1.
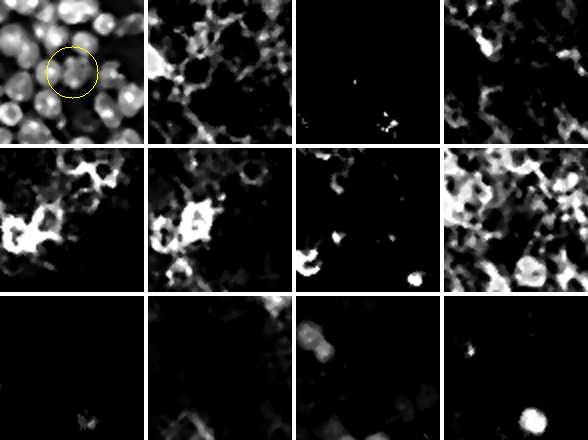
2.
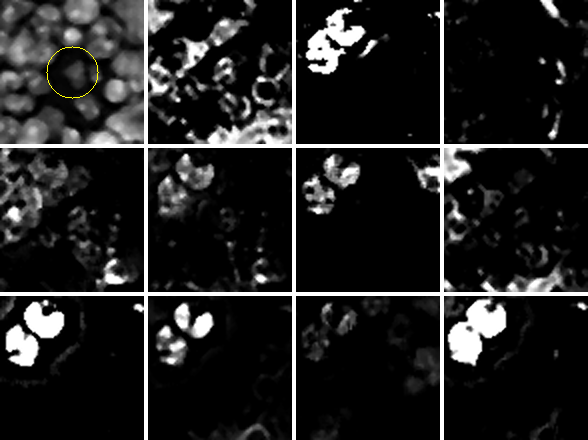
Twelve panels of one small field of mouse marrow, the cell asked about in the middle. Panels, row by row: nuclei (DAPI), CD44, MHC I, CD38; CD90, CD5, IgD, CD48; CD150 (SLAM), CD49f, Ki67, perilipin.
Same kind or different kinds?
Same: neutrophils.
